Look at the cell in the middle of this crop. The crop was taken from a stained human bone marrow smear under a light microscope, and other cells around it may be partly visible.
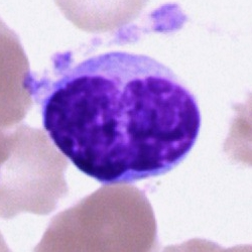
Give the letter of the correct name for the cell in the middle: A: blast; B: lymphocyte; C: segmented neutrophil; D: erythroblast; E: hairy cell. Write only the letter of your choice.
E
